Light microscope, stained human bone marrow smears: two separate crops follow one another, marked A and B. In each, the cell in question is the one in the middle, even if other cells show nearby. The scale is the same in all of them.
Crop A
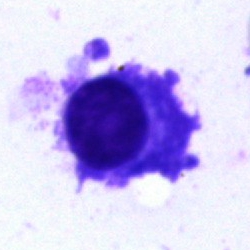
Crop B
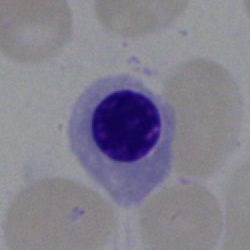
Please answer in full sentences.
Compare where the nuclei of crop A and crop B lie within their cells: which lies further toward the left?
The nucleus in crop A lies further toward the left of its cell.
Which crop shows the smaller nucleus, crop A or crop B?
Crop B shows the smaller nucleus, since that in crop A covers about 1.5 times as much area.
